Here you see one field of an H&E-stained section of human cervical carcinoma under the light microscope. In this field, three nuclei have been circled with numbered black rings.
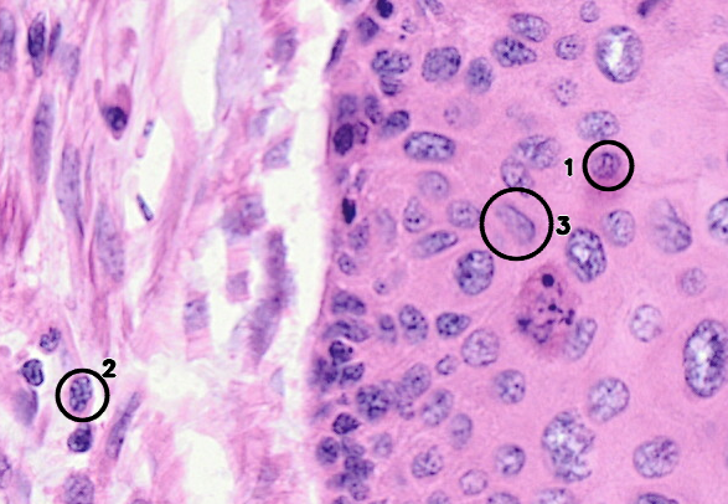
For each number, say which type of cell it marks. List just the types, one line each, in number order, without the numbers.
squamous carcinoma cell
lymphocyte
squamous carcinoma cell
